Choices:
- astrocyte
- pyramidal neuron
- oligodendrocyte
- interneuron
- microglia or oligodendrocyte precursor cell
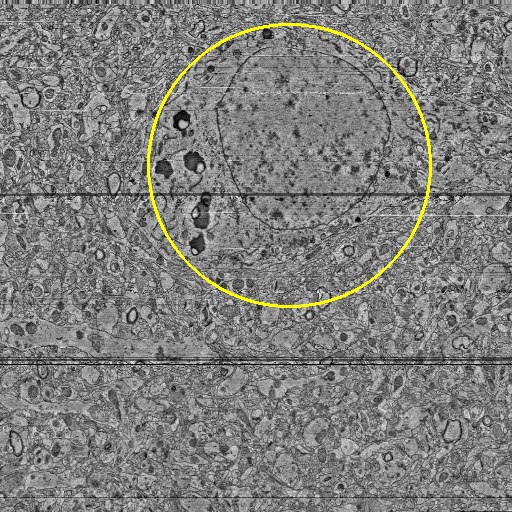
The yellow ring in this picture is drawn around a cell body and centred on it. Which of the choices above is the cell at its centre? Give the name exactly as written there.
pyramidal neuron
